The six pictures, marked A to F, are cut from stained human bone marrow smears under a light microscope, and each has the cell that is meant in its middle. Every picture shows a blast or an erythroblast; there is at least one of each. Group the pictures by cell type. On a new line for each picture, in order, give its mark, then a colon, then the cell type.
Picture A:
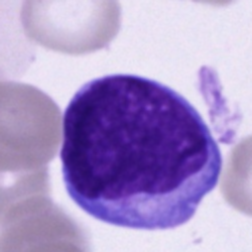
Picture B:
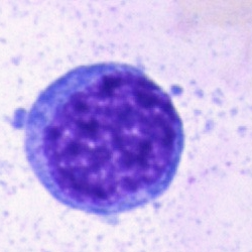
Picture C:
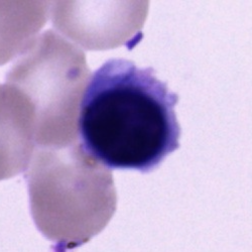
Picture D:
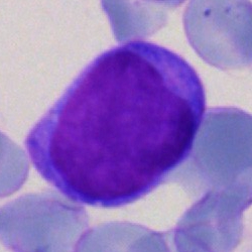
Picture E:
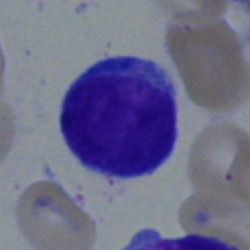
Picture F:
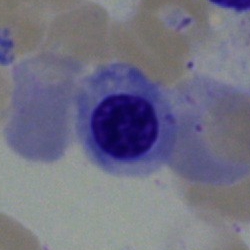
A: blast
B: blast
C: erythroblast
D: blast
E: blast
F: erythroblast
